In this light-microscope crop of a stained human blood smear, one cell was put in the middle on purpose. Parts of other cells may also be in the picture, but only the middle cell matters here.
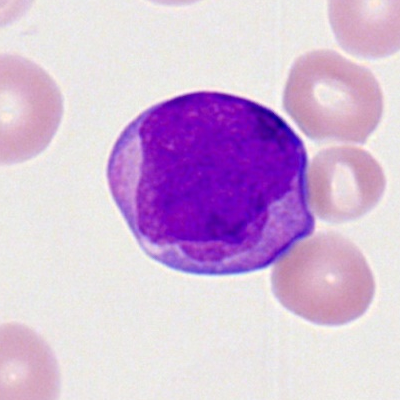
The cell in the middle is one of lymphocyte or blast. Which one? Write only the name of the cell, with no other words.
blast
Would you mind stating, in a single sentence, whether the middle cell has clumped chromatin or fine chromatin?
Chromatin texture is fine, and coarse clumps are absent.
